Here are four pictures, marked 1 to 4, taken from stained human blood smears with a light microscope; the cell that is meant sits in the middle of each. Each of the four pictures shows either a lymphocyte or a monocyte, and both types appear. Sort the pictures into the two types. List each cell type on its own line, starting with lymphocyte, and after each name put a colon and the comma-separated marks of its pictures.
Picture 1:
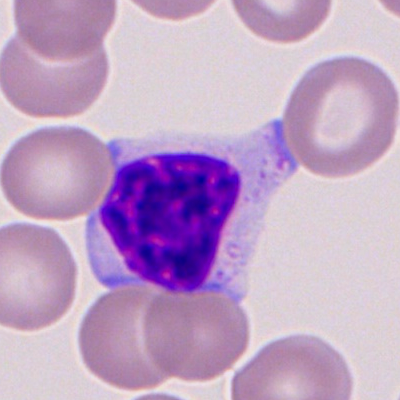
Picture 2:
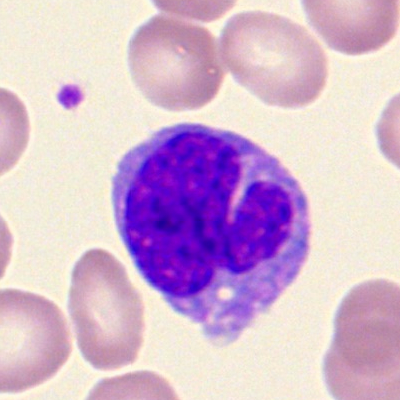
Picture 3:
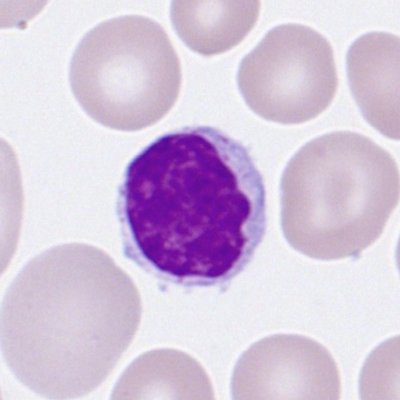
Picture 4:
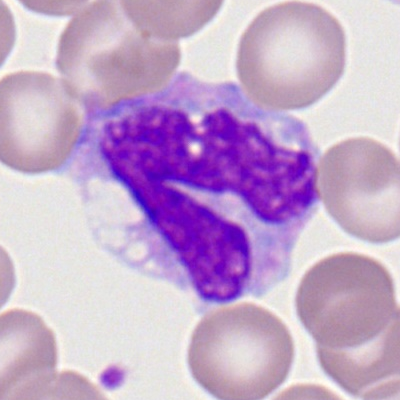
lymphocyte: 1, 3
monocyte: 2, 4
